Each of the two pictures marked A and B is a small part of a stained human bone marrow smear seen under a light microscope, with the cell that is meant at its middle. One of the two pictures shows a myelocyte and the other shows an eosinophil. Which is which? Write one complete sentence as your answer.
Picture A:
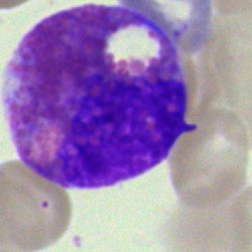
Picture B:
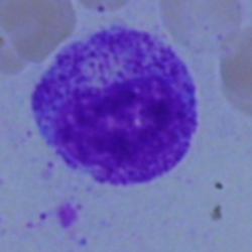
Picture B shows a myelocyte, while picture A shows an eosinophil.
